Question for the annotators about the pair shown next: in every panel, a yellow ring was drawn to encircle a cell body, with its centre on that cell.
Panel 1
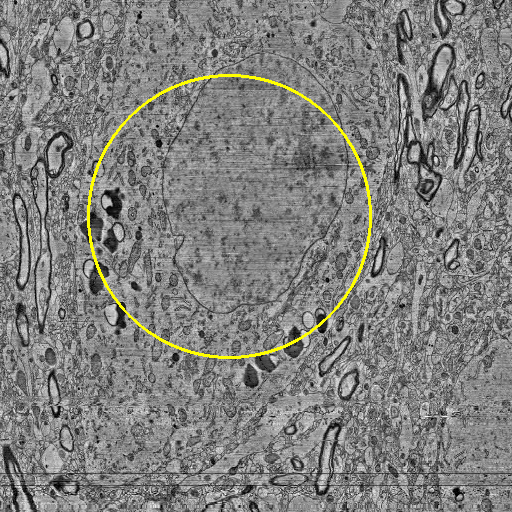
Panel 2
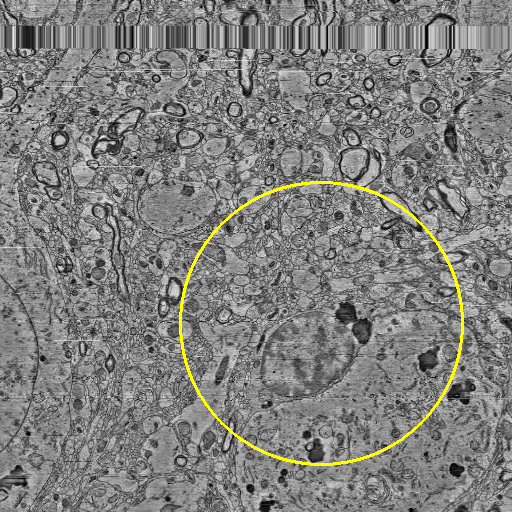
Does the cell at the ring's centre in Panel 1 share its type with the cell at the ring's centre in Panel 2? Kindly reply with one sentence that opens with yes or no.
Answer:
No, in Panels 1 and 2 the cells at the ring centres belong to separate types.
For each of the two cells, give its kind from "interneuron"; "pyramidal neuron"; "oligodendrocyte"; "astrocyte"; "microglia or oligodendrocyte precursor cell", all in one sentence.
The first picture has a pyramidal neuron in its ring, the second has an oligodendrocyte.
